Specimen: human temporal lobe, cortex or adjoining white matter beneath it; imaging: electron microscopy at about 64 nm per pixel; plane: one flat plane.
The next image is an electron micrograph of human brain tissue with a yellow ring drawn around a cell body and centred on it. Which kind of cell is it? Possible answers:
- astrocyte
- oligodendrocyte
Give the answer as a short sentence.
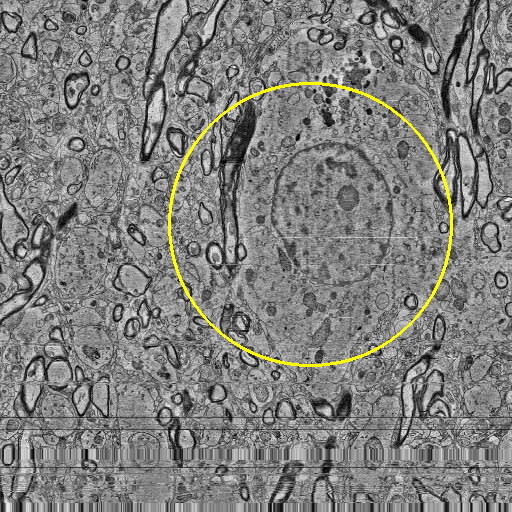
In the ring's centre is an astrocyte.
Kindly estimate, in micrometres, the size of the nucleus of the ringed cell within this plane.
The nucleus is approximately 9 micrometers long by 8 micrometers wide in this plane.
